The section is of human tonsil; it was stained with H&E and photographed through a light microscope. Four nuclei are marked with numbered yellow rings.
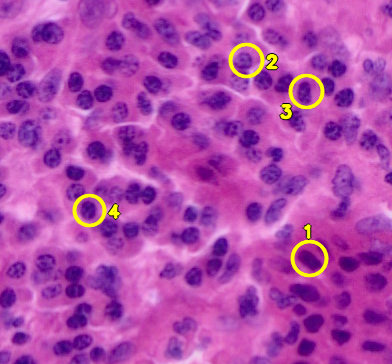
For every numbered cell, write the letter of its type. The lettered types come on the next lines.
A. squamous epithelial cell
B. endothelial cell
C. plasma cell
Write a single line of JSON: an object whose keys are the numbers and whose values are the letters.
{"1": "A", "2": "C", "3": "C", "4": "C"}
